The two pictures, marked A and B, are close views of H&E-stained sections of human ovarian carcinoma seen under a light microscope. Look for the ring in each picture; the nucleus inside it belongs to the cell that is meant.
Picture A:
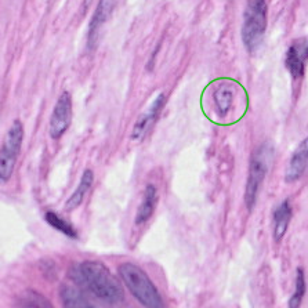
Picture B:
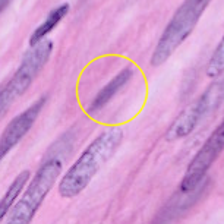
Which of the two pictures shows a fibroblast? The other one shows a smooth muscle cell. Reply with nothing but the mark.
A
